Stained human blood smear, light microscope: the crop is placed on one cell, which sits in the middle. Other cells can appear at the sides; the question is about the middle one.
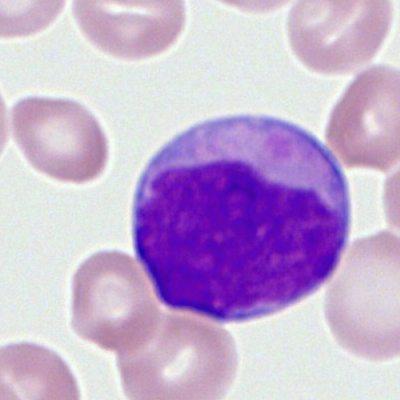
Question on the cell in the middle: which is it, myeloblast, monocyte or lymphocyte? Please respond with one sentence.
The middle of this crop holds a myeloblast.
